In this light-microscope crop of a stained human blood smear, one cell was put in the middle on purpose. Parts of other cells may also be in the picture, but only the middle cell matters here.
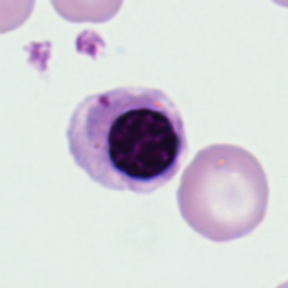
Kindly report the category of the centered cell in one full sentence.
For this crop, the cell in the middle is an erythroblast.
